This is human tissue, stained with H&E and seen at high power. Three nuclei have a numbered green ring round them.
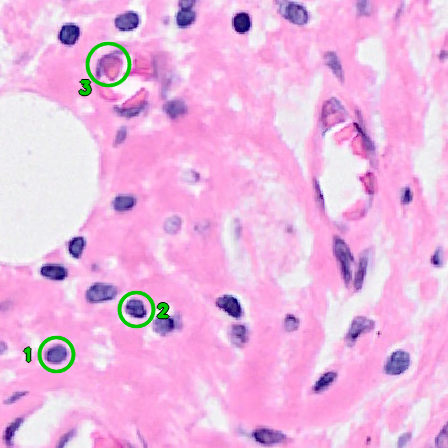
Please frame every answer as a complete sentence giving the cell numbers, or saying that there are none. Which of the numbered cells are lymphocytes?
The cells numbered 1 and 2 are, by type, lymphocytes.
